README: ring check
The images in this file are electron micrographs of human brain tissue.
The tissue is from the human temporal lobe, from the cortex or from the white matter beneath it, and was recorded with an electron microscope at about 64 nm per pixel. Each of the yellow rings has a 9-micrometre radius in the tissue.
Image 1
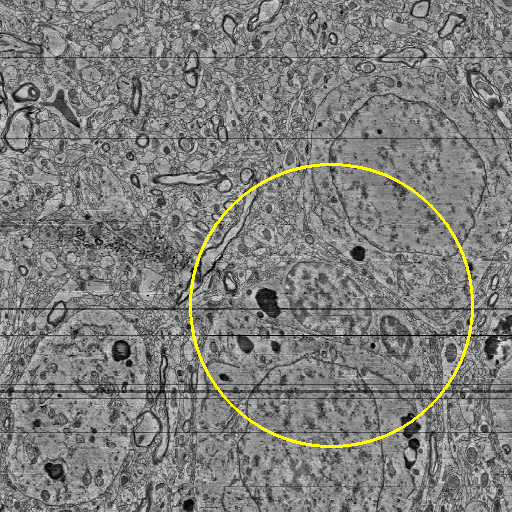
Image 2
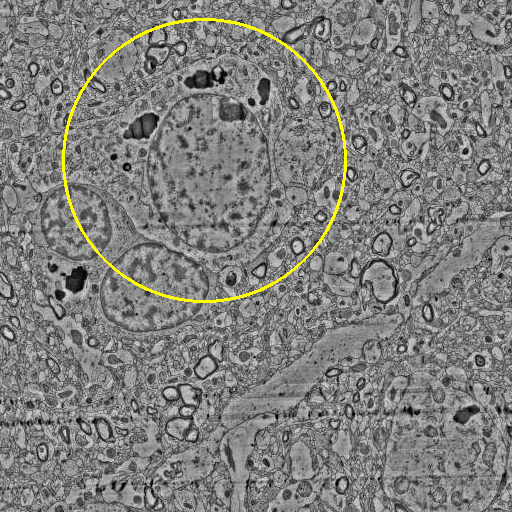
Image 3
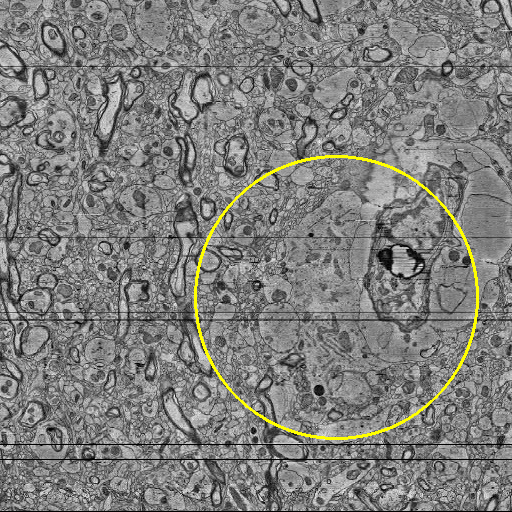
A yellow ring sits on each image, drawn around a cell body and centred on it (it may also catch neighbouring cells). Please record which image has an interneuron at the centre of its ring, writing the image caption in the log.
Image 2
